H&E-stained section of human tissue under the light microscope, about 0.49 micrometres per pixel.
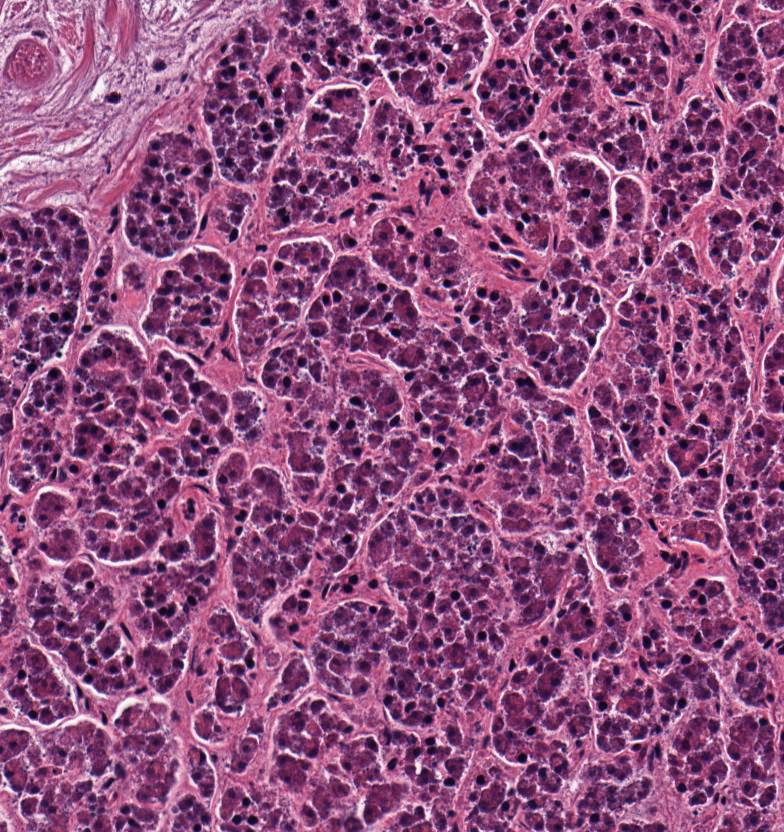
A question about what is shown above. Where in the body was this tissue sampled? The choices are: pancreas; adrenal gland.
pancreas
